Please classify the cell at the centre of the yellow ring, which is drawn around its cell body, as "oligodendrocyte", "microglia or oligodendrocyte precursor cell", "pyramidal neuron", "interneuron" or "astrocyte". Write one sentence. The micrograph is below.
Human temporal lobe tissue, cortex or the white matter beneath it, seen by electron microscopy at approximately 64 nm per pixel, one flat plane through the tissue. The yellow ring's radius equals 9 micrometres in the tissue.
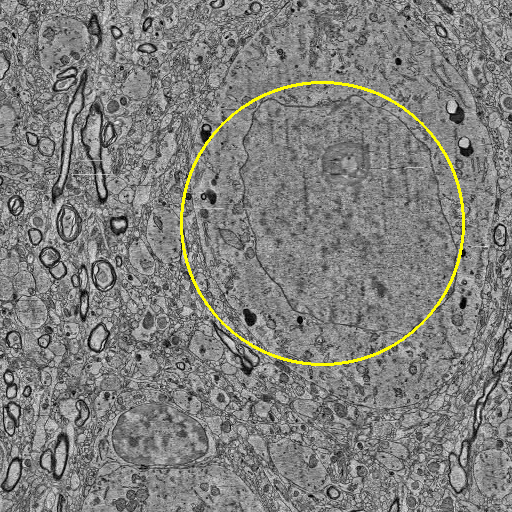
The cell at the ring's centre is classified as a pyramidal neuron.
